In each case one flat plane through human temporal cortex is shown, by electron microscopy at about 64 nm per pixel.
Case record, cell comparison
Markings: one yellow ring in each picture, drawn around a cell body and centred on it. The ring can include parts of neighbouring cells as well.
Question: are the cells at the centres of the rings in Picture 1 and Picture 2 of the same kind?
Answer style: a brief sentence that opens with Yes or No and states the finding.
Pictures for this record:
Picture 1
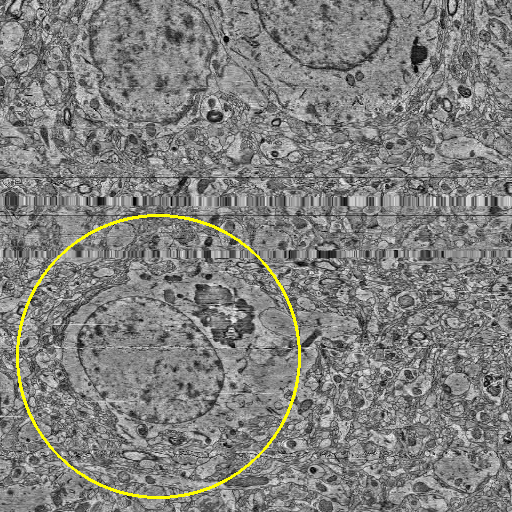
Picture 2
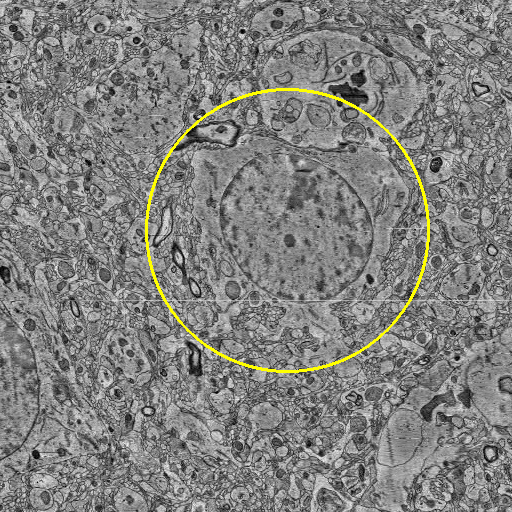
Yes, the cells in Picture 1 and Picture 2 are of the same kind.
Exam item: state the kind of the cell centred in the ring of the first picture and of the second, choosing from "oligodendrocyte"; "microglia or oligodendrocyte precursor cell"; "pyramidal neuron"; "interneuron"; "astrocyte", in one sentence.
In both pictures the ring is centred on an astrocyte.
